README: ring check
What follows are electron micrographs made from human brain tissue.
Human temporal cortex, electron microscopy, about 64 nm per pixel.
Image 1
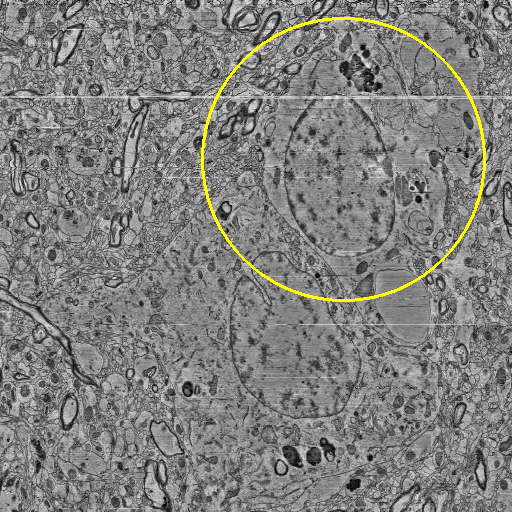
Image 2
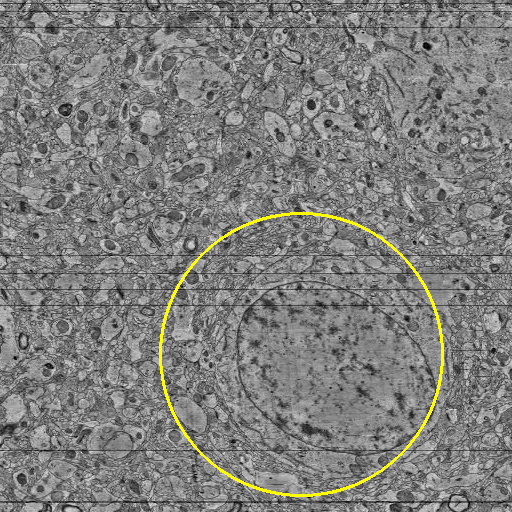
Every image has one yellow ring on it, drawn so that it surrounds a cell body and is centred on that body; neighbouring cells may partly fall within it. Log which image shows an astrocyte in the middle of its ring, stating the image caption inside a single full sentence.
Image 1 is where the cell at the ring's centre matches the one asked for.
